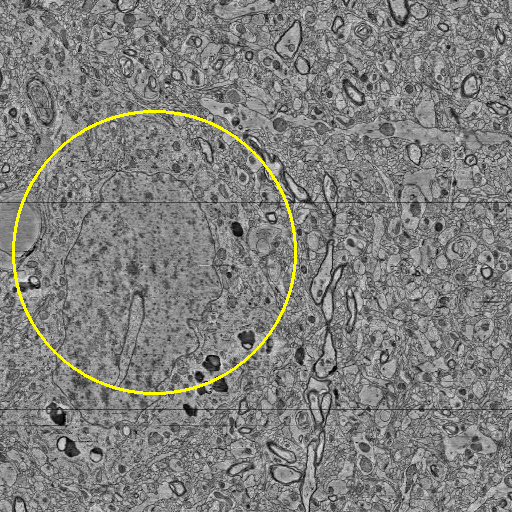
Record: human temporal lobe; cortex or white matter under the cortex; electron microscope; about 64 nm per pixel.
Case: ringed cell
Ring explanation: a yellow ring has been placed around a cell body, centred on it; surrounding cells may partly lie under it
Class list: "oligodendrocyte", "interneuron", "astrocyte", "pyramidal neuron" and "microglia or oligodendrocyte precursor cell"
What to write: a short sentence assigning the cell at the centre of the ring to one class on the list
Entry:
The cell at the ring's centre is a pyramidal neuron.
